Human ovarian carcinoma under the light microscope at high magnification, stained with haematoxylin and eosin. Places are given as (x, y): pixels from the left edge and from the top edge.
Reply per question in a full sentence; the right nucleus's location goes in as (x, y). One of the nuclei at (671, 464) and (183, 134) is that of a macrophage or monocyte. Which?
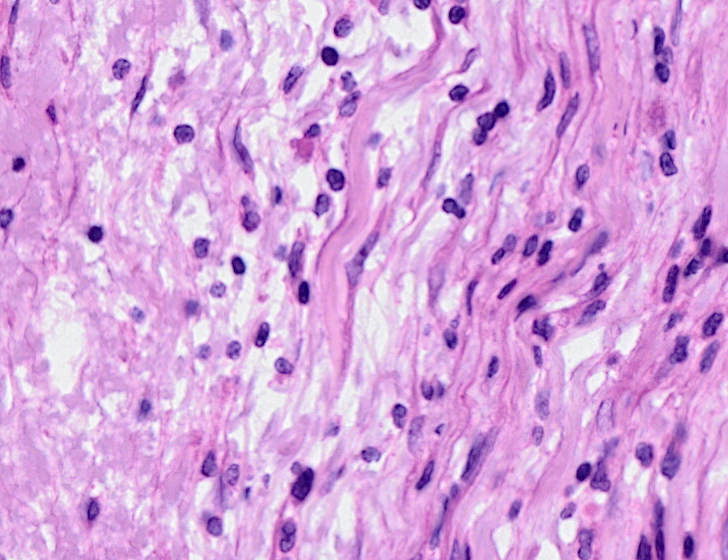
The nucleus whose position is (671, 464) belongs to a macrophage or monocyte.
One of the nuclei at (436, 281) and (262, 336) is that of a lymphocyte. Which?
The one nucleus of the two that belongs to a lymphocyte is at (262, 336).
